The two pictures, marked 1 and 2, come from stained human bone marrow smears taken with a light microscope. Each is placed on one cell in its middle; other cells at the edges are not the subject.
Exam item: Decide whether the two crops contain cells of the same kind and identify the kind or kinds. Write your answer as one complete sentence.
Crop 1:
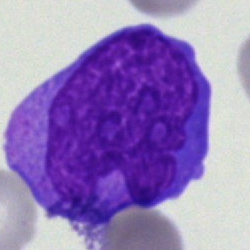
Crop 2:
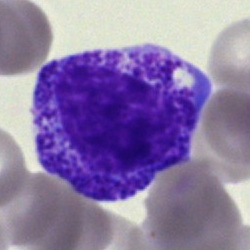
No, crop 1 shows a blast, whereas a myelocyte is what crop 2 shows.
